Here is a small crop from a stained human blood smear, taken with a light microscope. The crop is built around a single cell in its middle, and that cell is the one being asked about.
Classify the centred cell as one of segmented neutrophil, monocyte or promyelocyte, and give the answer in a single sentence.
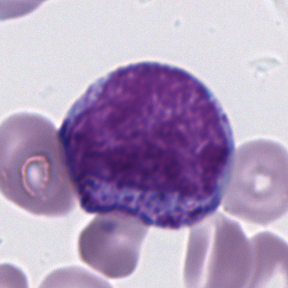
The cell at the heart of this crop is a promyelocyte.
